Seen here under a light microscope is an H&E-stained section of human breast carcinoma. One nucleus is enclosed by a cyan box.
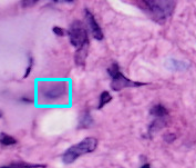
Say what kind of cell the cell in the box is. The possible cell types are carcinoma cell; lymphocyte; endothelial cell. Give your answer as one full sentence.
This is an endothelial cell.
